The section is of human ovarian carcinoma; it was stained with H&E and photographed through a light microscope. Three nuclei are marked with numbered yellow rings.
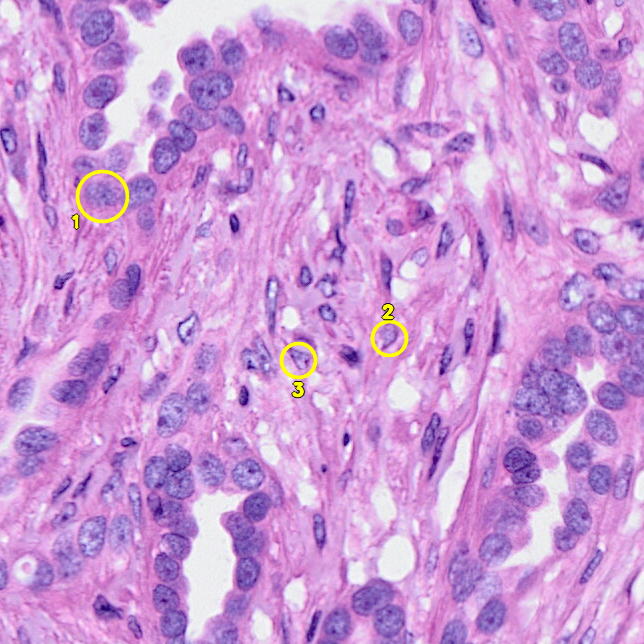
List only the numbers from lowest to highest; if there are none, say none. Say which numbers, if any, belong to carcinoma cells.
1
